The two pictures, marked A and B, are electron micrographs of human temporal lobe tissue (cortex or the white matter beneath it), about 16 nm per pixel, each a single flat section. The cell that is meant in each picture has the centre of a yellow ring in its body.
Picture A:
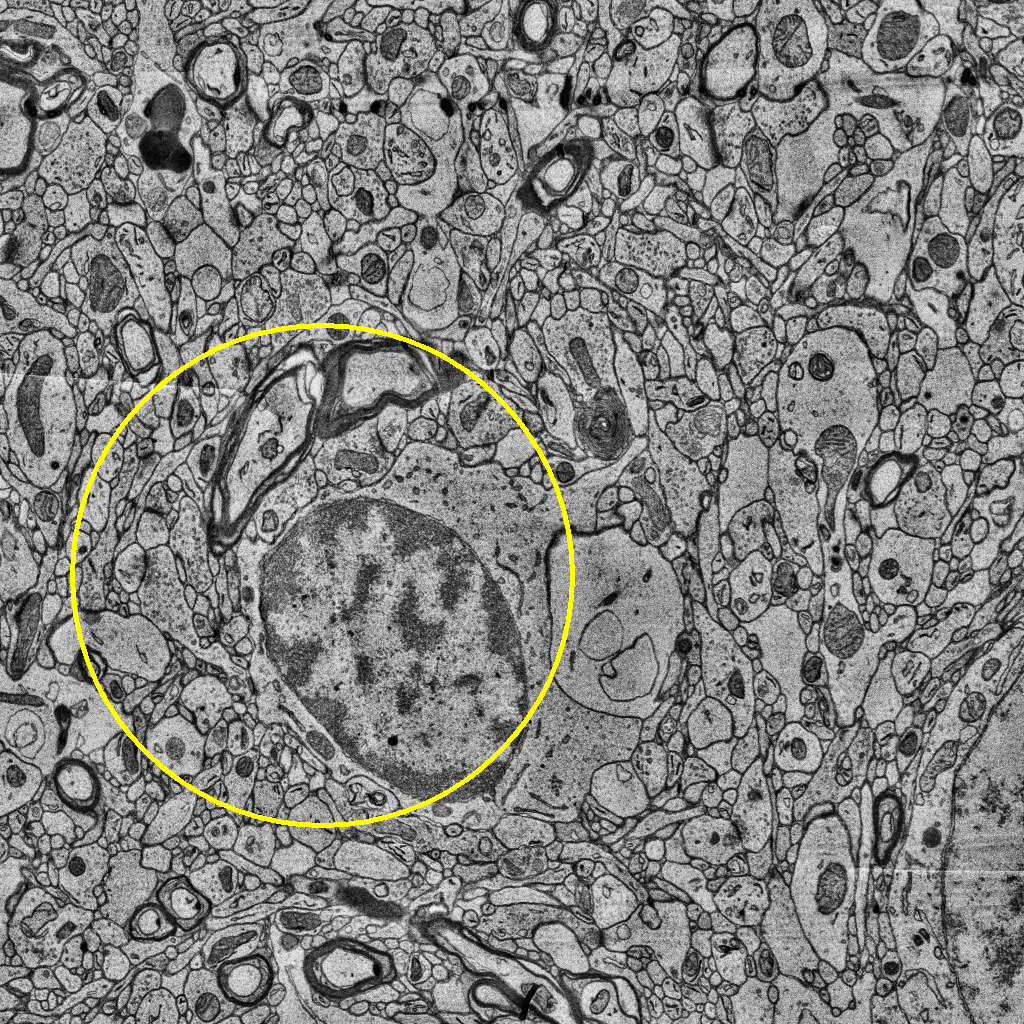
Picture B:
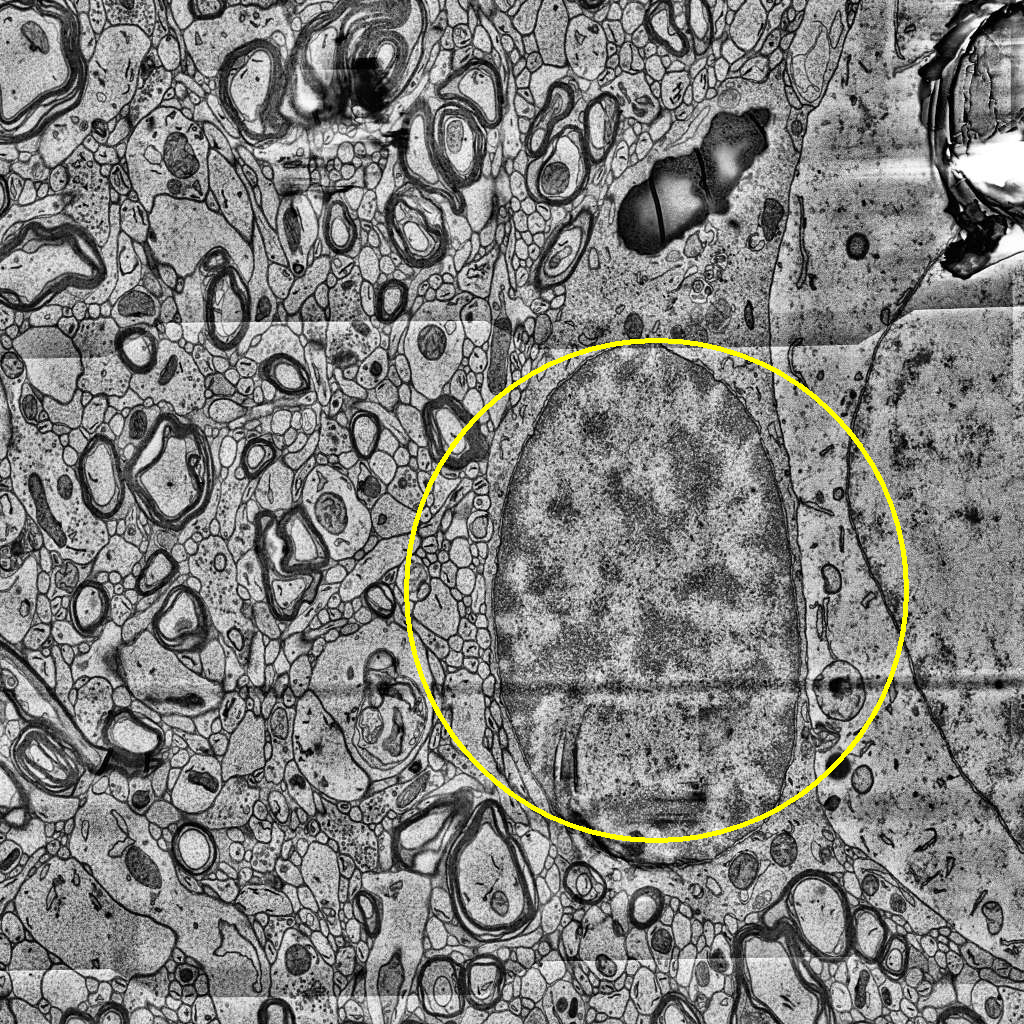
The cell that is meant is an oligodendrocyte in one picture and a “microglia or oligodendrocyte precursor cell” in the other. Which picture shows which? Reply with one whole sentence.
Picture B shows an oligodendrocyte, while picture A shows a “microglia or oligodendrocyte precursor cell”.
